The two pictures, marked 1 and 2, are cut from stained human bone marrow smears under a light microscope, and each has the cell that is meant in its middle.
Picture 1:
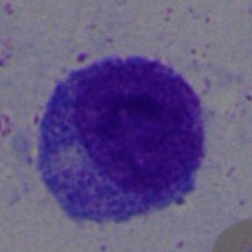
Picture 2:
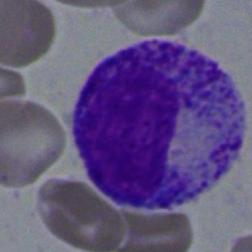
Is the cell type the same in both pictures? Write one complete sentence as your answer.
Yes, both cells are myelocytes.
